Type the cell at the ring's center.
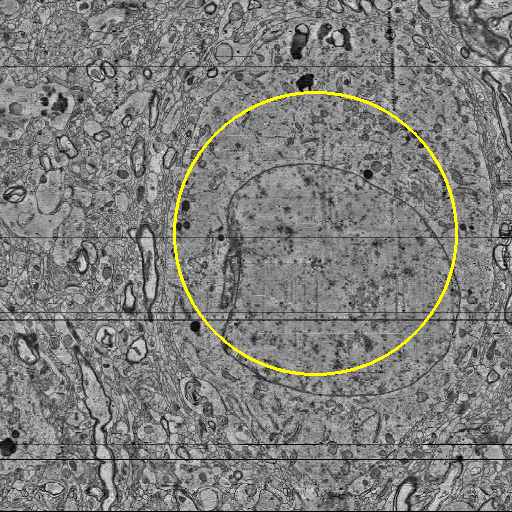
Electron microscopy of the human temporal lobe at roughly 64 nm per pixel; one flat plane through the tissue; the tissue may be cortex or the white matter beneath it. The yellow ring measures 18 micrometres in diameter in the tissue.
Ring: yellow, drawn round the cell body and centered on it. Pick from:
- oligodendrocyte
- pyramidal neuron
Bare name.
pyramidal neuron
